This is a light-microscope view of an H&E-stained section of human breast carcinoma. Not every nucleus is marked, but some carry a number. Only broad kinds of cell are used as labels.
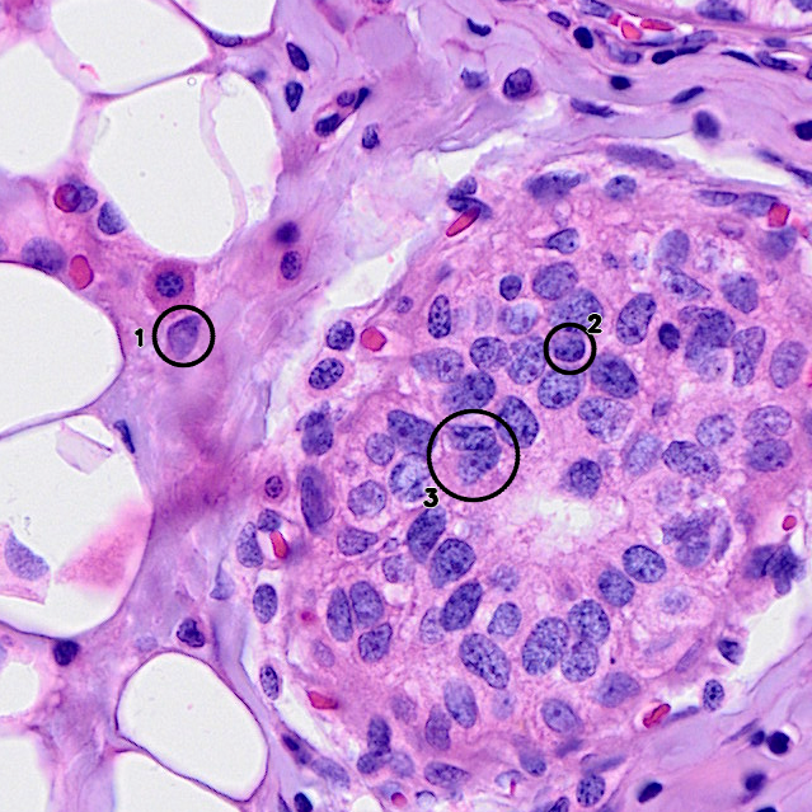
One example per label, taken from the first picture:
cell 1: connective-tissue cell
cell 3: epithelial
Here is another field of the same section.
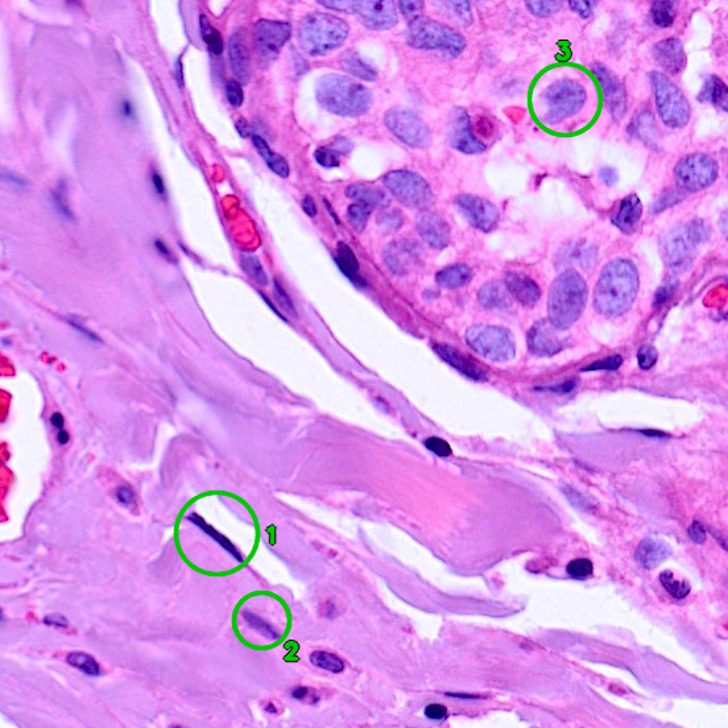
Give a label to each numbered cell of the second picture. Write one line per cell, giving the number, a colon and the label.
1: connective-tissue cell
2: connective-tissue cell
3: epithelial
